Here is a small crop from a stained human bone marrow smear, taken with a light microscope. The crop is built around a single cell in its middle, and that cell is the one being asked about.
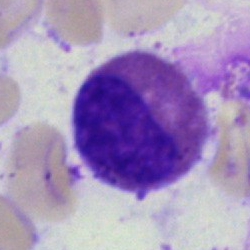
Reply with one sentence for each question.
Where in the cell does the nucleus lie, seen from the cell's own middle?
It is shifted toward the lower left of the cell.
